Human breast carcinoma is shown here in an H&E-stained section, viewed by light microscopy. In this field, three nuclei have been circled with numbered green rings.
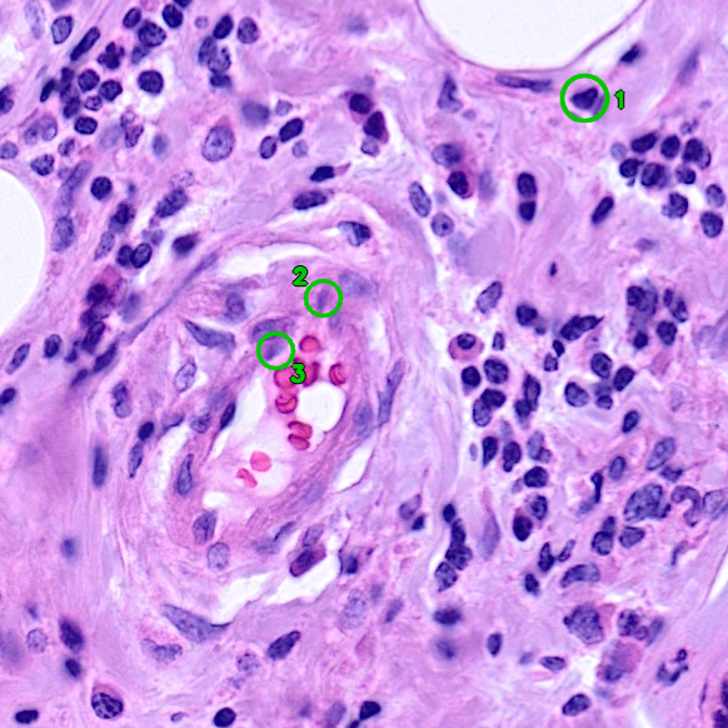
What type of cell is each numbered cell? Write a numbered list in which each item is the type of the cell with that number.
1. lymphocyte
2. endothelial cell
3. endothelial cell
